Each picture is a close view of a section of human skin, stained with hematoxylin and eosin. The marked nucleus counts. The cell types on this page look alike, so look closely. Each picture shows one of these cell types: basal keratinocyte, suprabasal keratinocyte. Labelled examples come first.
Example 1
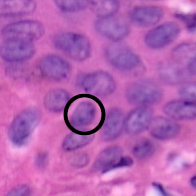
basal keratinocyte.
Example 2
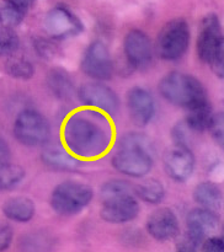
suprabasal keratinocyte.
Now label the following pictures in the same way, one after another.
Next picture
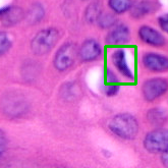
basal keratinocyte.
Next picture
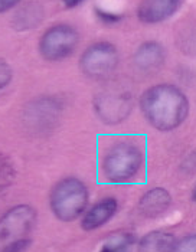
suprabasal keratinocyte.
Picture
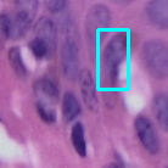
basal keratinocyte.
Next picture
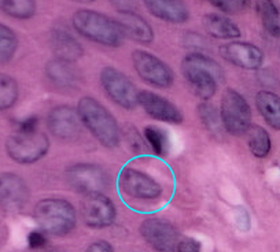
basal keratinocyte.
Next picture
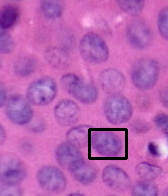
suprabasal keratinocyte.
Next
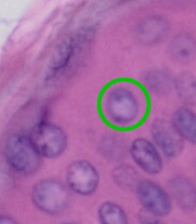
suprabasal keratinocyte.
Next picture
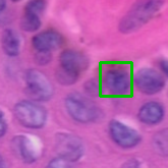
basal keratinocyte.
